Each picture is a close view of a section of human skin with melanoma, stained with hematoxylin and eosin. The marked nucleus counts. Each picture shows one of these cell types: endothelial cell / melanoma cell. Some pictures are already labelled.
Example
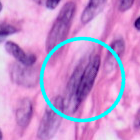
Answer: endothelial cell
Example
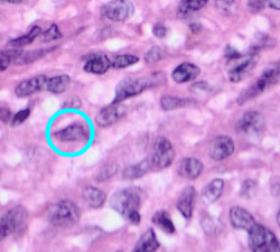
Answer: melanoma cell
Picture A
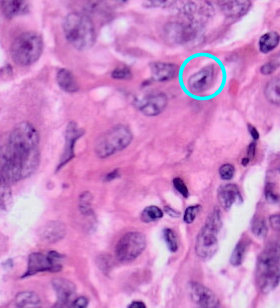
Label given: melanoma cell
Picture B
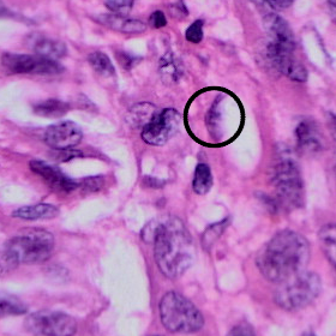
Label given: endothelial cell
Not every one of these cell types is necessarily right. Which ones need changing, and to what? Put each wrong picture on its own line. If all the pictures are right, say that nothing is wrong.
A is labelled melanoma cell; correct label: endothelial cell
